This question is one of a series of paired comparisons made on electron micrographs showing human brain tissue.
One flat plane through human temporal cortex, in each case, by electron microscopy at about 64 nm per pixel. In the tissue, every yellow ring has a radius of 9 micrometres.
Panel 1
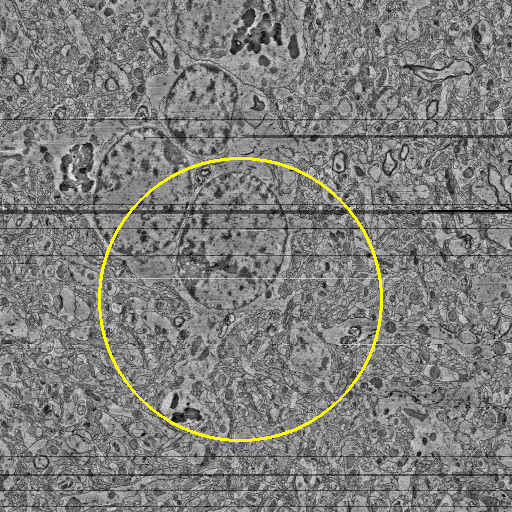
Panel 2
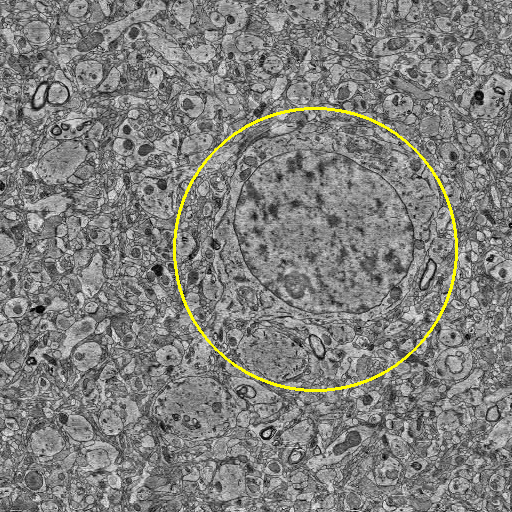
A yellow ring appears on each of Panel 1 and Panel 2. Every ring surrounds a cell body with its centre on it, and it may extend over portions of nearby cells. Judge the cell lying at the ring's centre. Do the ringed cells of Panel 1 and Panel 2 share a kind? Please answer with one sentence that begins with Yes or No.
No, the ring-centre cell in Panel 1 and the one in Panel 2 are of two kinds.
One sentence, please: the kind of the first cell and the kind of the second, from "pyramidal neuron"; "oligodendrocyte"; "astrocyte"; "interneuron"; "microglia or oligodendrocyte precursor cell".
The ring in the first picture surrounds an astrocyte, and the ring in the second surrounds a pyramidal neuron.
